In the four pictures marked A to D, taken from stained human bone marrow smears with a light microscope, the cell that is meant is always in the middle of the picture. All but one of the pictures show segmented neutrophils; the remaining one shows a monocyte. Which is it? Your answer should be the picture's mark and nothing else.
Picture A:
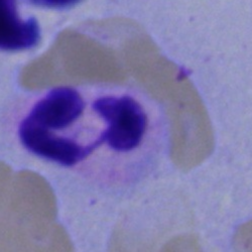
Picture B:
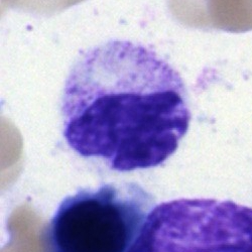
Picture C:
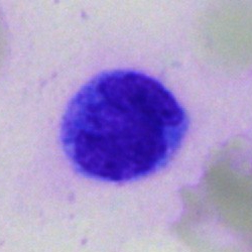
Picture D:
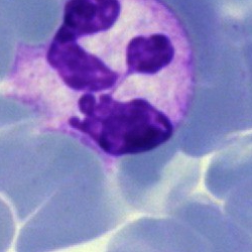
C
